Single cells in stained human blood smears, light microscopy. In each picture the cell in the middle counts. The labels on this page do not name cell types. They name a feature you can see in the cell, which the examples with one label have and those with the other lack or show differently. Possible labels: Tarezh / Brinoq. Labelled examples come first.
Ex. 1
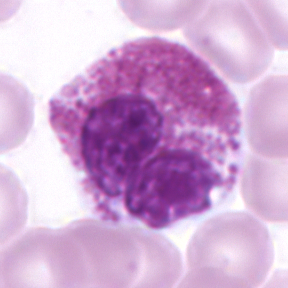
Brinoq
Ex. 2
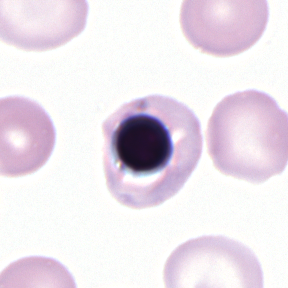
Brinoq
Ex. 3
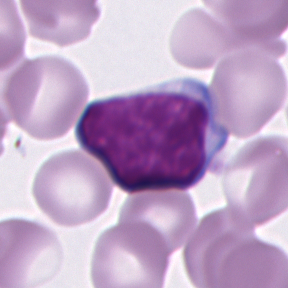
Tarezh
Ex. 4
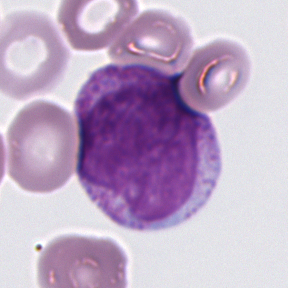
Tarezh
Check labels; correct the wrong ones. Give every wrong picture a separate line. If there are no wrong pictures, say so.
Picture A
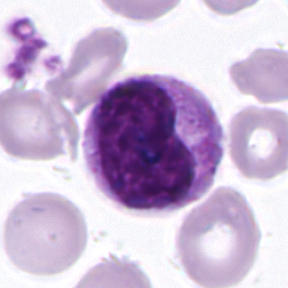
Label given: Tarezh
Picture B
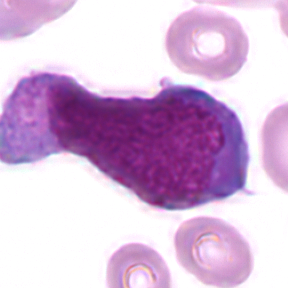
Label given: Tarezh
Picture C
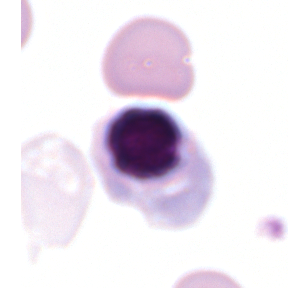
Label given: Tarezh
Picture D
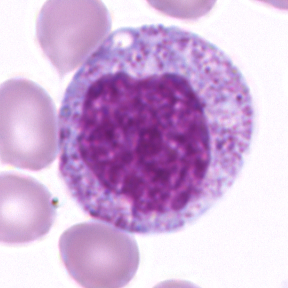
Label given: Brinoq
C is labelled Tarezh; correct label: Brinoq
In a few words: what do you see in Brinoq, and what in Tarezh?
In Brinoq: abundant cytoplasm. In Tarezh: scant cytoplasm.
